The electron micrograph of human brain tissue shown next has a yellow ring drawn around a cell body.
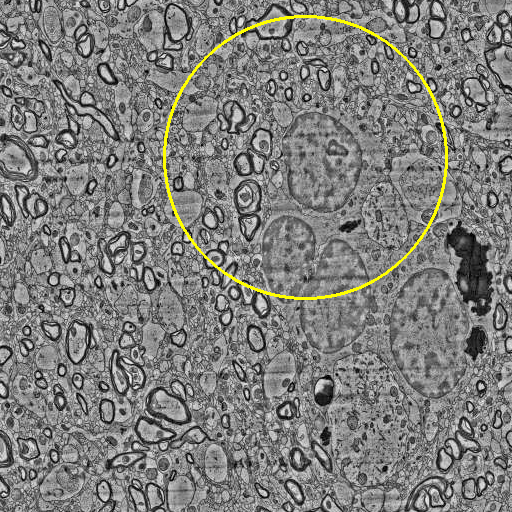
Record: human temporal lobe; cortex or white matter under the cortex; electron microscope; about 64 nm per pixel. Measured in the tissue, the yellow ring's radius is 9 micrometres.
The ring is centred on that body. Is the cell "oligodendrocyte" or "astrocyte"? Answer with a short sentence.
The cell in question is an oligodendrocyte.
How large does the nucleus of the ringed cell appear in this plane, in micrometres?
In this plane the nucleus measures roughly 6 by 5 micrometres.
